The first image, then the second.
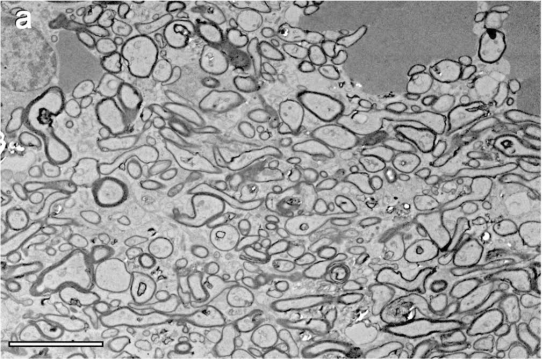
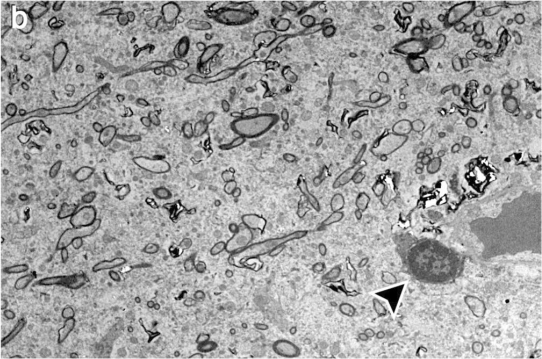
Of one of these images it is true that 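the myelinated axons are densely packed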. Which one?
The first image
